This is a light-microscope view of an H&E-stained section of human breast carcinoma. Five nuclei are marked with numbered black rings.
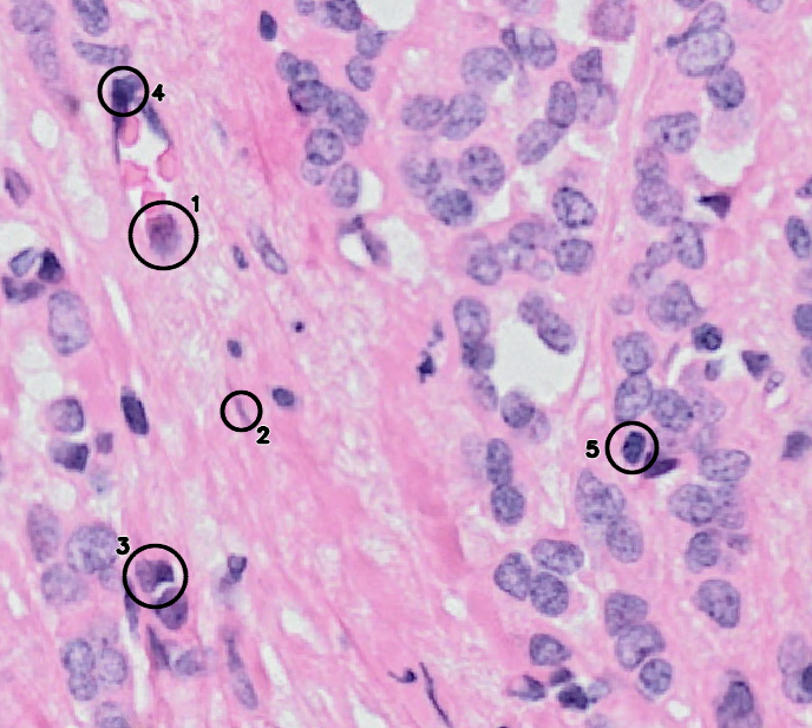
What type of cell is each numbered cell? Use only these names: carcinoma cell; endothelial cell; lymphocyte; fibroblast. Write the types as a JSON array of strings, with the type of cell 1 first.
["endothelial cell", "fibroblast", "carcinoma cell", "endothelial cell", "lymphocyte"]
